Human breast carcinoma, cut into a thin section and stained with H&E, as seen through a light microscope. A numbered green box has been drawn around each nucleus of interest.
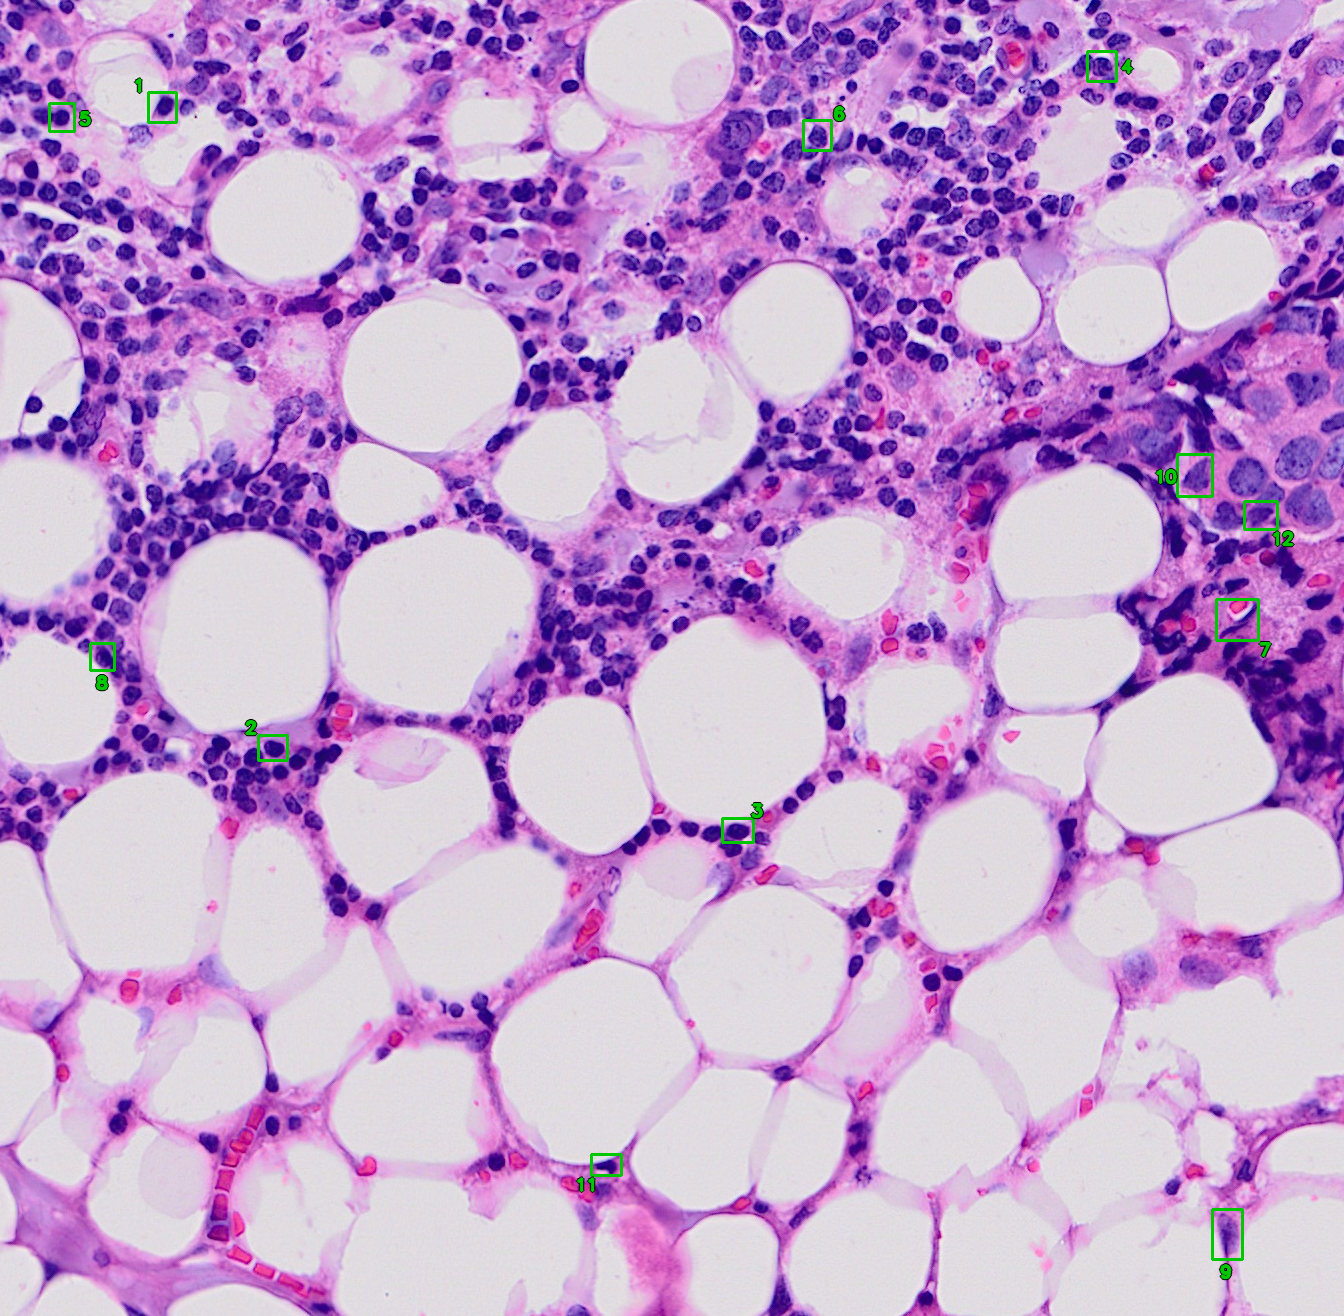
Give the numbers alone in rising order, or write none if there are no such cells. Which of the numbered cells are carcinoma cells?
10, 12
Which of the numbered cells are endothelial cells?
7, 11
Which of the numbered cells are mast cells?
none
